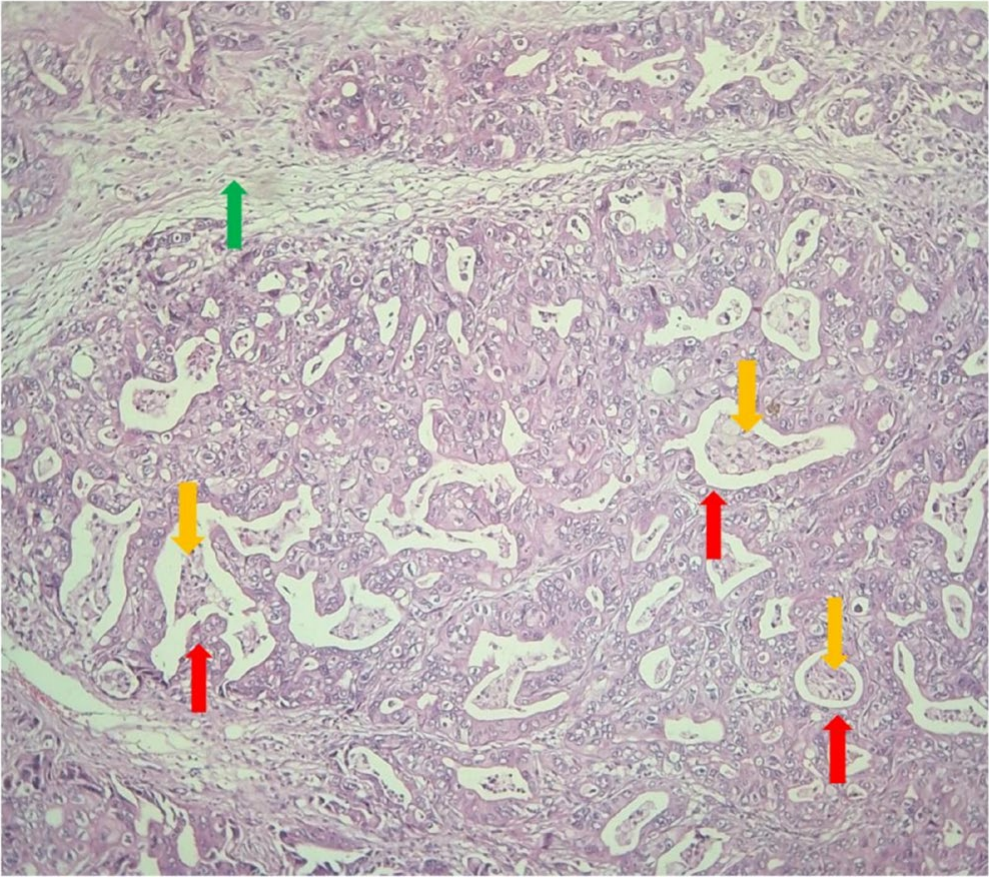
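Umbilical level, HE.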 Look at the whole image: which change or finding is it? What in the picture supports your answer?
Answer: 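Moderately differentiated adenocarcinoma. Malignant epithelial cells form many irregular, branching gland-like lumens. Gland formation is present but the glands are crowded and fuse into solid areas. The nuclei are enlarged and pleomorphic.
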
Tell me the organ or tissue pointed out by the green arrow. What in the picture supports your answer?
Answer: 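The arrow lies in a band of loose, pale fibrous tissue between tumour nodules. The band holds wavy fibres with spaces between them and scattered small nuclei.
Answer: edematous and inflammatory fibrous stroma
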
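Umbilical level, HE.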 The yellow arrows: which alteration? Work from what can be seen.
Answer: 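Comedo‐necroses. The arrows point into the centres of gland lumens. The lumens hold pale, loose debris with scattered cell remnants. The debris is surrounded by a rim of tumour epithelium.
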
